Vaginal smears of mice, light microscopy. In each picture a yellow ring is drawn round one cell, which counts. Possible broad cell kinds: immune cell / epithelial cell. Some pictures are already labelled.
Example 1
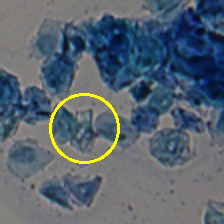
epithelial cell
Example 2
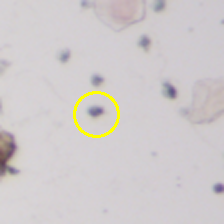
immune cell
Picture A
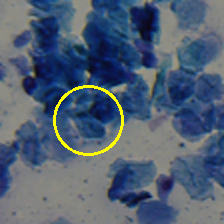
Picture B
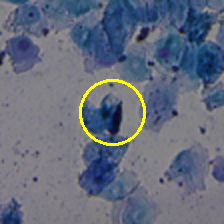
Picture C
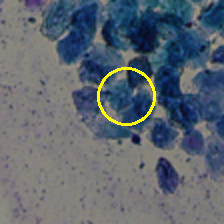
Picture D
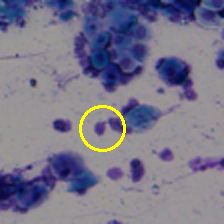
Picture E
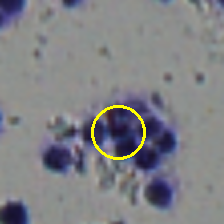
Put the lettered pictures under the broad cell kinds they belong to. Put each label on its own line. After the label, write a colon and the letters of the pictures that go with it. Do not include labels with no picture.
immune cell: D, E
epithelial cell: A, B, C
